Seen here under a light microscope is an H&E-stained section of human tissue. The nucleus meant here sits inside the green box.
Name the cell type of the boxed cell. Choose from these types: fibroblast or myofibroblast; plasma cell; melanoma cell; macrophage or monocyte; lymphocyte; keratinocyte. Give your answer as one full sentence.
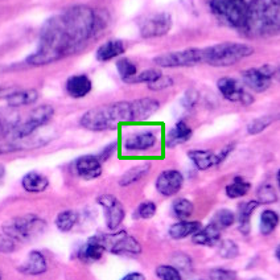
Cell type answer for this item: the boxed cell is a lymphocyte.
